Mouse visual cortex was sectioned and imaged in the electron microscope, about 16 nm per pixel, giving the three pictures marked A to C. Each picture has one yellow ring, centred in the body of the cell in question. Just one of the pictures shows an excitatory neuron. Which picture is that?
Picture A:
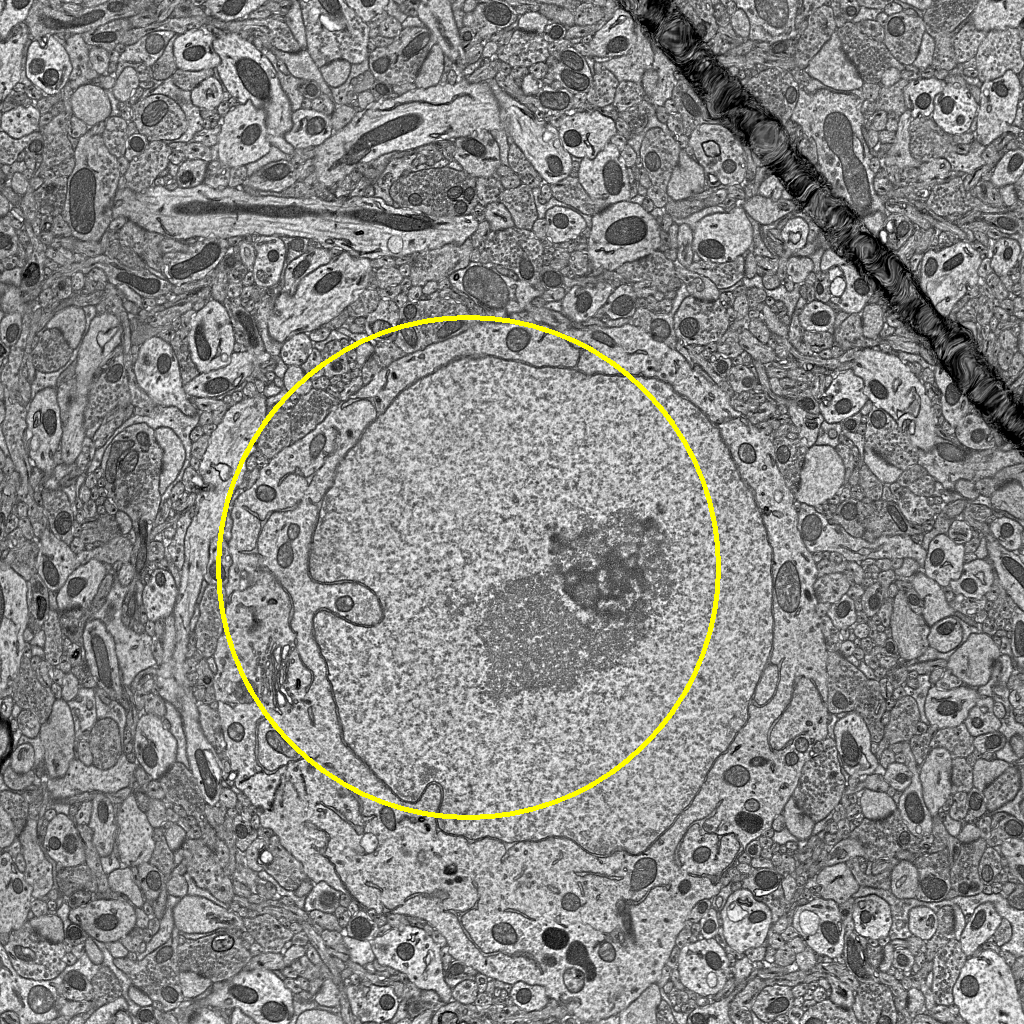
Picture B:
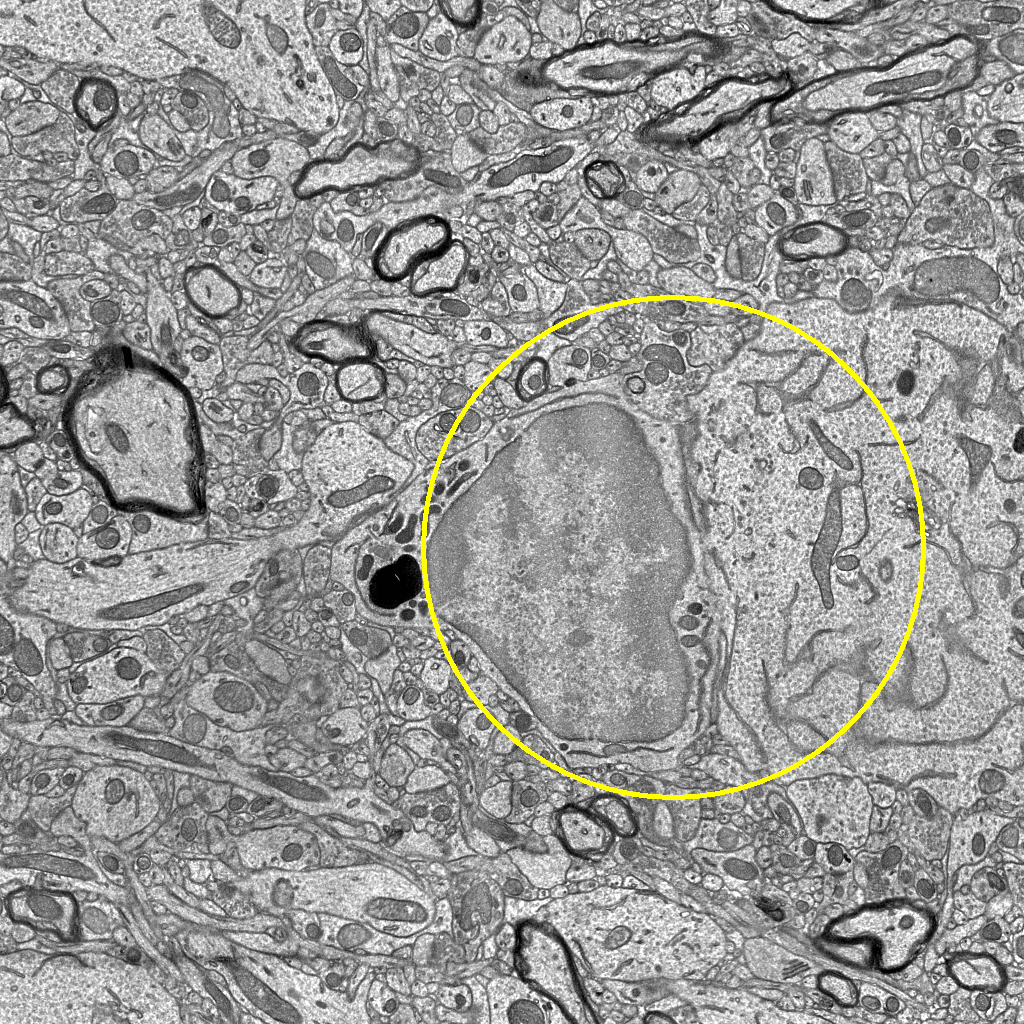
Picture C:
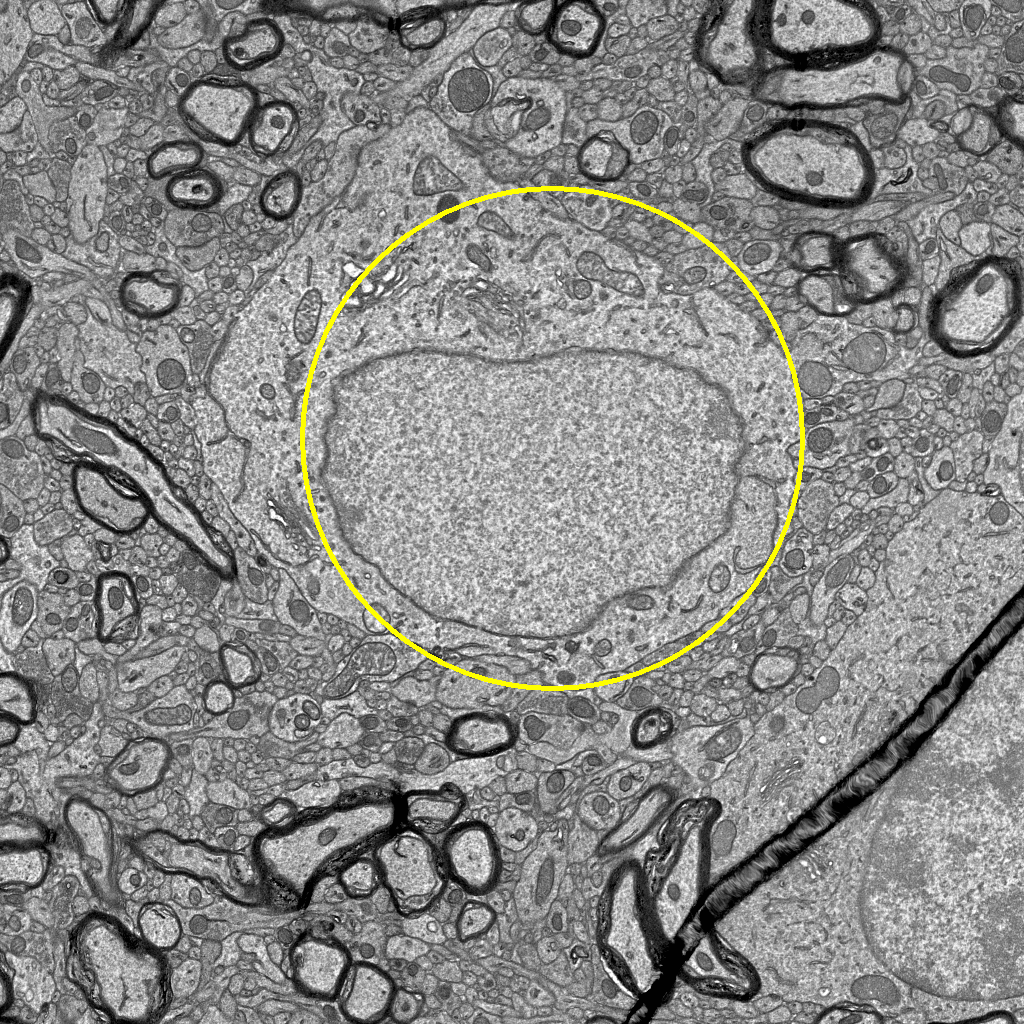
Picture C shows the excitatory neuron.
